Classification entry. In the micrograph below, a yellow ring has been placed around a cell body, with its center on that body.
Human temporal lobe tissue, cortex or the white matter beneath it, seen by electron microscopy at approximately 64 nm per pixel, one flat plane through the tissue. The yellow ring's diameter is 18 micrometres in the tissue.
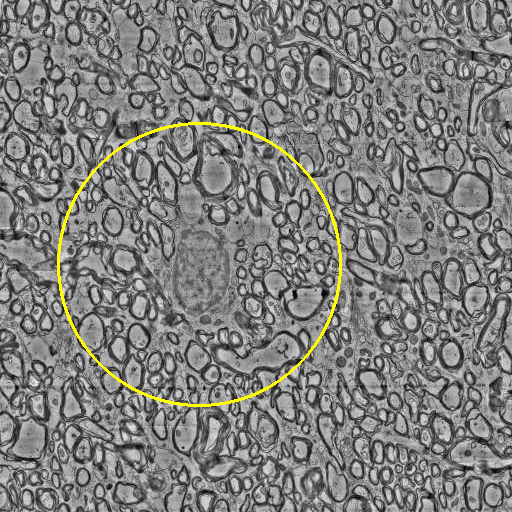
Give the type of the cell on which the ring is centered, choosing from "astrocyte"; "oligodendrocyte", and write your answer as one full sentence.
The cell body at the center of the yellow ring belongs to an oligodendrocyte.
